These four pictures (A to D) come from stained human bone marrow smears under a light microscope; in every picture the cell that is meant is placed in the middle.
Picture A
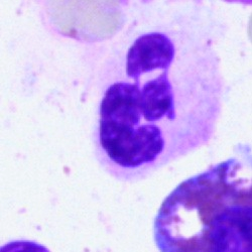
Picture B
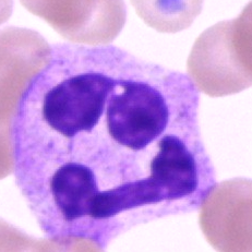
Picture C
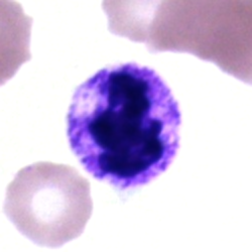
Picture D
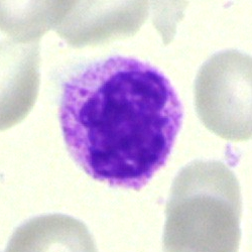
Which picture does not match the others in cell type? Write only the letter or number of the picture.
D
